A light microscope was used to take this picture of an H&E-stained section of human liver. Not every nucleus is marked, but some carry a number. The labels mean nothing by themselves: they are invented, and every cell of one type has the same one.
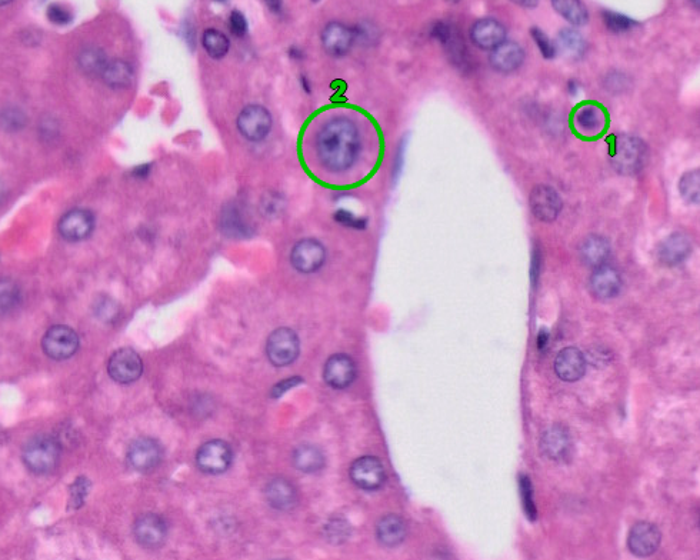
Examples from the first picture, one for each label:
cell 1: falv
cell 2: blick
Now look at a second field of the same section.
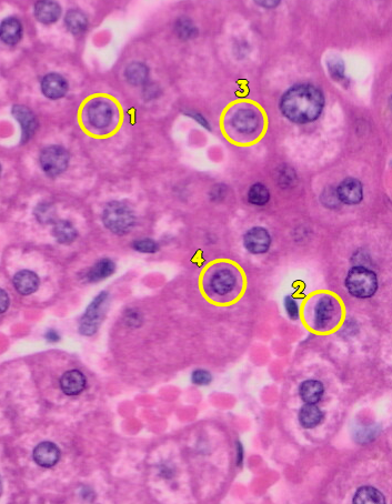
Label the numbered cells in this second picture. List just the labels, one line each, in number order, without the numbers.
blick
falv
blick
blick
